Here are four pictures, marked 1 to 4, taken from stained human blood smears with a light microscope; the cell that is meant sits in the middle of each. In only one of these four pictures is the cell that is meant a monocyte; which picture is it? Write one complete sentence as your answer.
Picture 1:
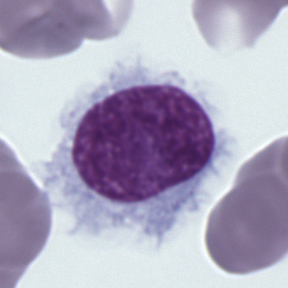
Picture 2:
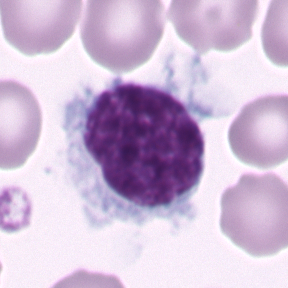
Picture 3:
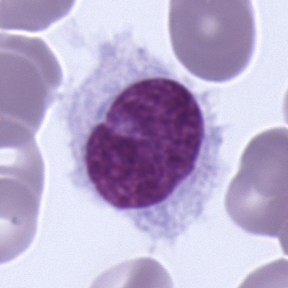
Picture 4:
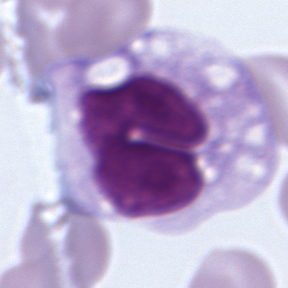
The cell in picture 4 is the monocyte.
